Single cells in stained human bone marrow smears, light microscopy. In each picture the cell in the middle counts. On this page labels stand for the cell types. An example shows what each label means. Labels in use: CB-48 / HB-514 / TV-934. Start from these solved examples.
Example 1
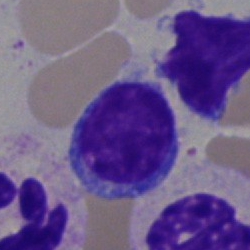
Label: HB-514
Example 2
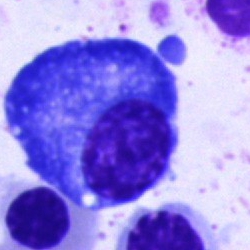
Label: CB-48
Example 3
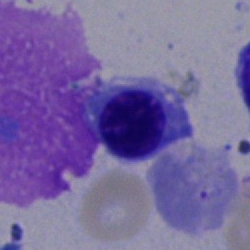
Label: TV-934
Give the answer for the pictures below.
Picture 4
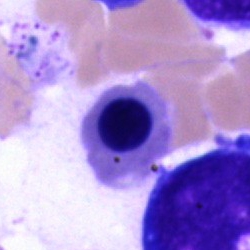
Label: TV-934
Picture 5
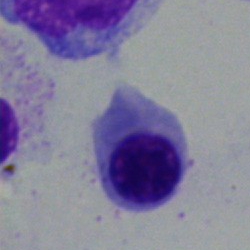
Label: TV-934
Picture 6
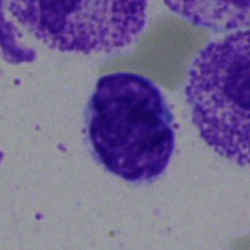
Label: HB-514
